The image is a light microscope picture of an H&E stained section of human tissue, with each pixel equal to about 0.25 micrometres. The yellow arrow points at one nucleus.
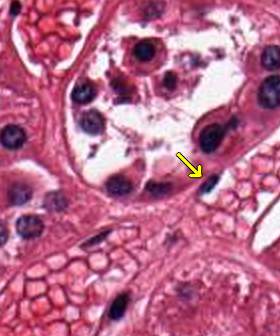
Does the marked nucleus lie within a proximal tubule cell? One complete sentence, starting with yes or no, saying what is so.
No, the marked nucleus is not part of a proximal tubule cell and instead belongs to a supporting cell.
